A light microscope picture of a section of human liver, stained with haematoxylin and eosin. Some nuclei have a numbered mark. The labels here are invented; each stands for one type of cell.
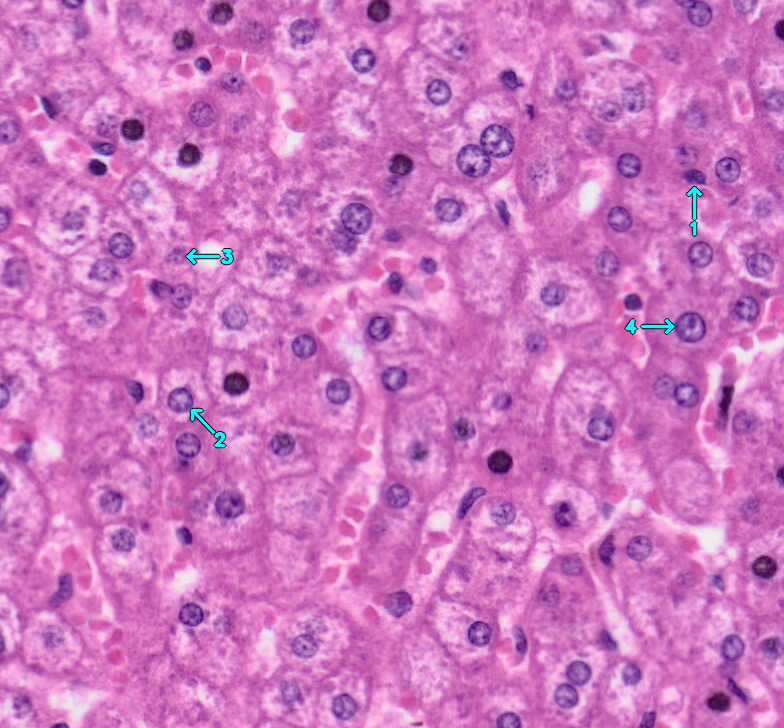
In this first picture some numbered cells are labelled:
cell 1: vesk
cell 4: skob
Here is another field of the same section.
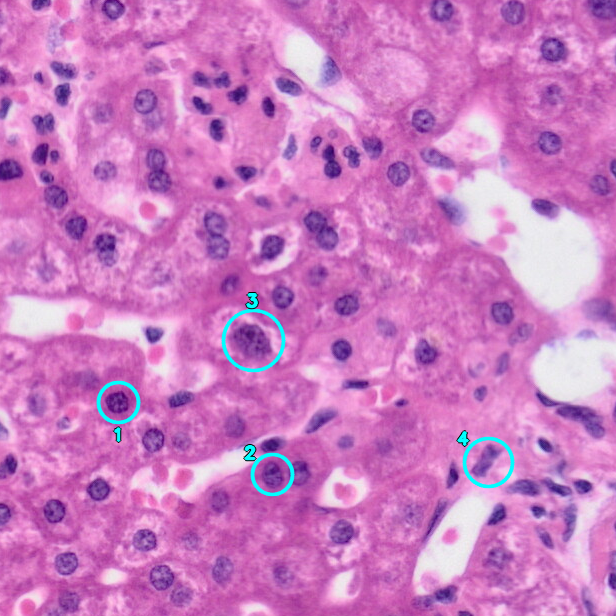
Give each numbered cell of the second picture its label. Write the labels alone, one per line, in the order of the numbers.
skob
skob
skob
vesk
